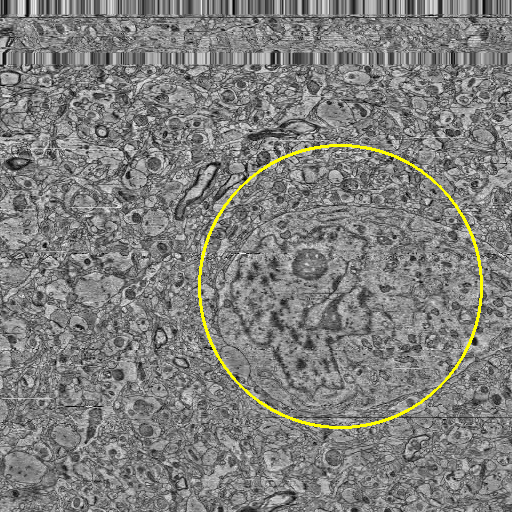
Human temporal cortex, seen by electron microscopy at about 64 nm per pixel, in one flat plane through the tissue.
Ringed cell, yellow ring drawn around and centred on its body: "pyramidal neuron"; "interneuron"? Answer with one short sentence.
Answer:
This ringed cell is an interneuron.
